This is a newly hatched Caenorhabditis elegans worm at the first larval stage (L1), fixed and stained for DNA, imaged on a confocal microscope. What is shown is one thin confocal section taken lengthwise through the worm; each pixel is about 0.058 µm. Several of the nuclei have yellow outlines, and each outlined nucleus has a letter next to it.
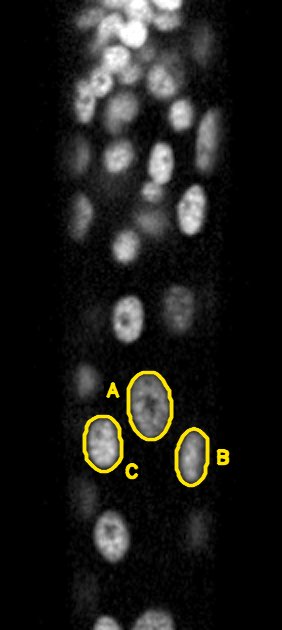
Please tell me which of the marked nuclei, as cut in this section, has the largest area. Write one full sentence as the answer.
Of the marked nuclei, A is the biggest in this section.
